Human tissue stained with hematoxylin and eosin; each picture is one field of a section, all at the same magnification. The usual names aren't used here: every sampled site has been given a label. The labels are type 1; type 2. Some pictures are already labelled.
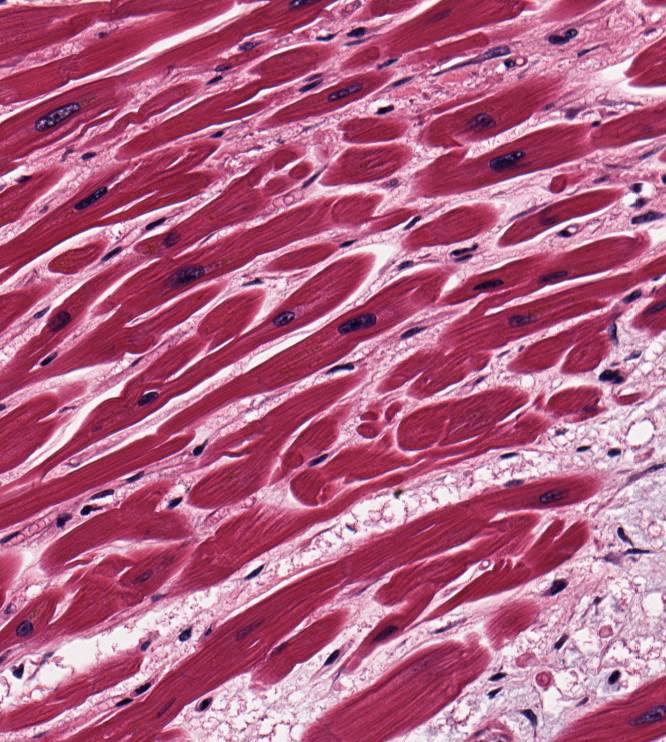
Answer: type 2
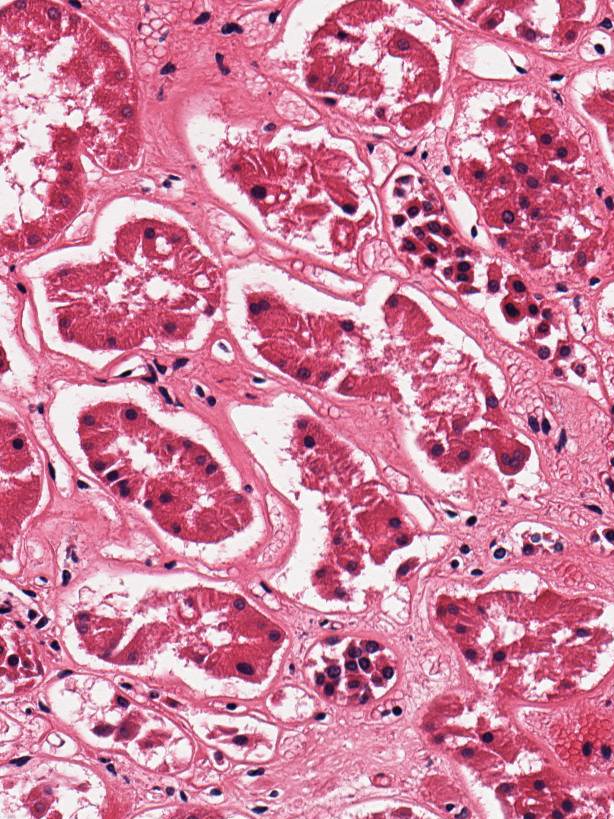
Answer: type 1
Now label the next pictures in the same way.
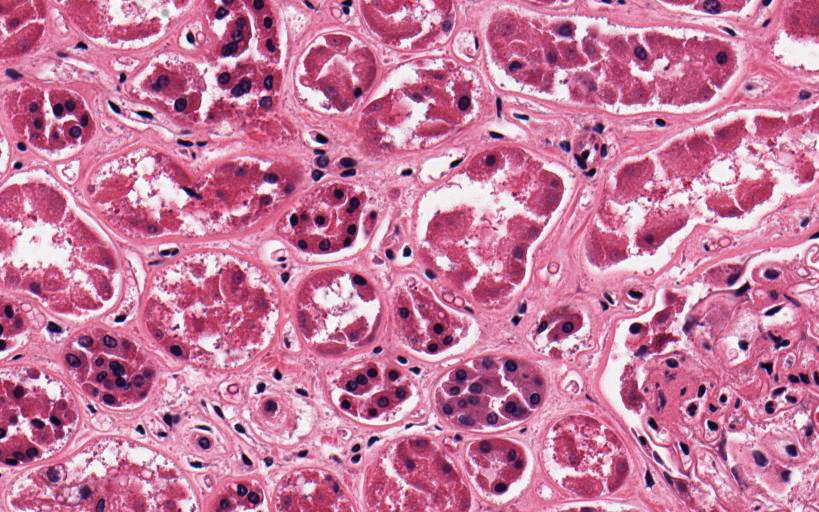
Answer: type 1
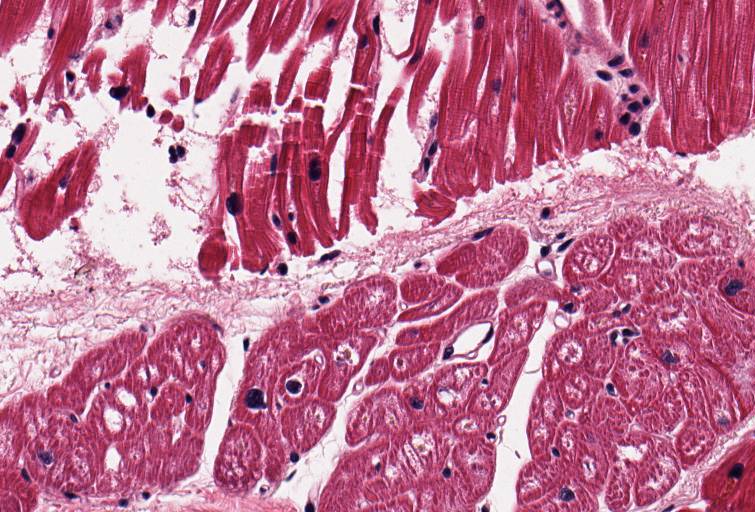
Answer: type 2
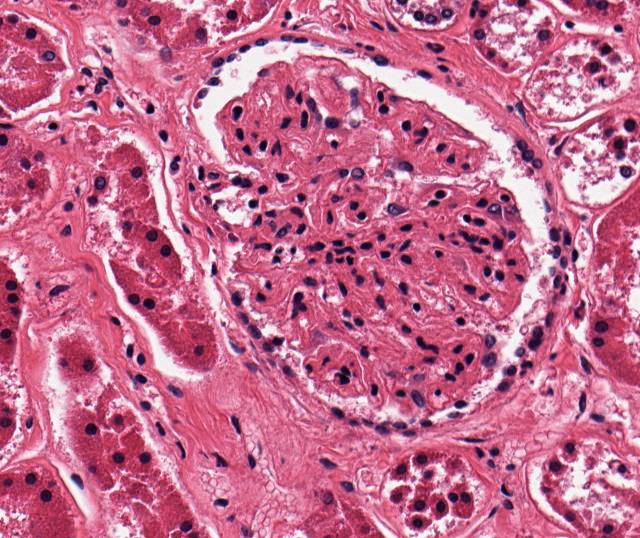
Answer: type 1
